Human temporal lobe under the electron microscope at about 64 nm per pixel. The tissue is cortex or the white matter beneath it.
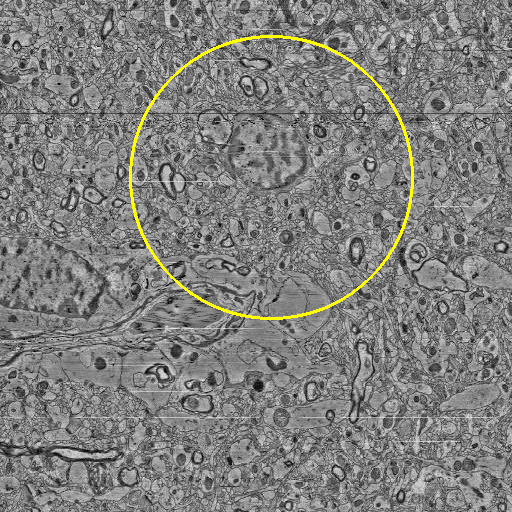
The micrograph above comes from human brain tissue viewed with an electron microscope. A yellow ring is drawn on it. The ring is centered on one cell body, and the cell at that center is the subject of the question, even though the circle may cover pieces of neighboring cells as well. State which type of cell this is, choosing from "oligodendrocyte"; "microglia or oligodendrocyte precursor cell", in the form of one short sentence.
The cell the ring is centered on is an oligodendrocyte.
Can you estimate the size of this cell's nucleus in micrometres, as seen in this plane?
The nucleus is approximately 5 micrometers across in this plane.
